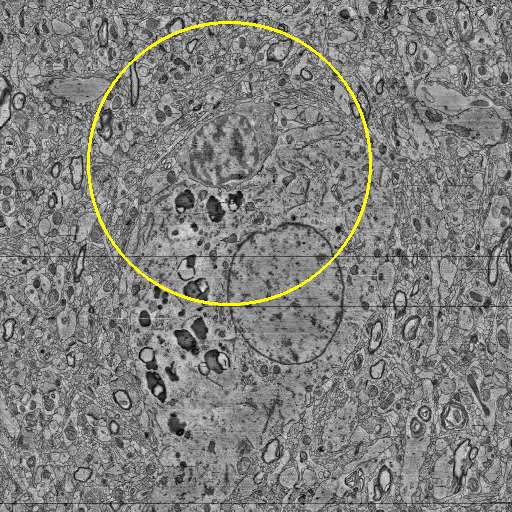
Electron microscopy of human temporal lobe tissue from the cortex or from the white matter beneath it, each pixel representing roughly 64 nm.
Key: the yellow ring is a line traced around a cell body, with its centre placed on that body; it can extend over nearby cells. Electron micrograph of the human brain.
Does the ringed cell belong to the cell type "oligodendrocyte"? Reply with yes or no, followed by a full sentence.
Yes, the cell at the centre of the yellow ring in the picture is of that type.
